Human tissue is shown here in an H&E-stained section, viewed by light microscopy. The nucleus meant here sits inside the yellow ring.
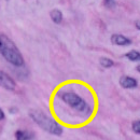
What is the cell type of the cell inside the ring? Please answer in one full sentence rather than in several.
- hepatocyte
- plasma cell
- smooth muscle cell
For the purposes of cell typing, the cell inside the ring is categorized as a smooth muscle cell.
